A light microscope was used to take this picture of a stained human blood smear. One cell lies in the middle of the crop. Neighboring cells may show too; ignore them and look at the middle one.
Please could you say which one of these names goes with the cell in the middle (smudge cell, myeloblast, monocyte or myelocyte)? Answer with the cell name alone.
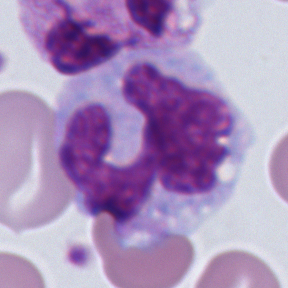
monocyte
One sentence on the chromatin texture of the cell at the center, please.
The chromatin is fine; coarse clumps are not a feature here.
